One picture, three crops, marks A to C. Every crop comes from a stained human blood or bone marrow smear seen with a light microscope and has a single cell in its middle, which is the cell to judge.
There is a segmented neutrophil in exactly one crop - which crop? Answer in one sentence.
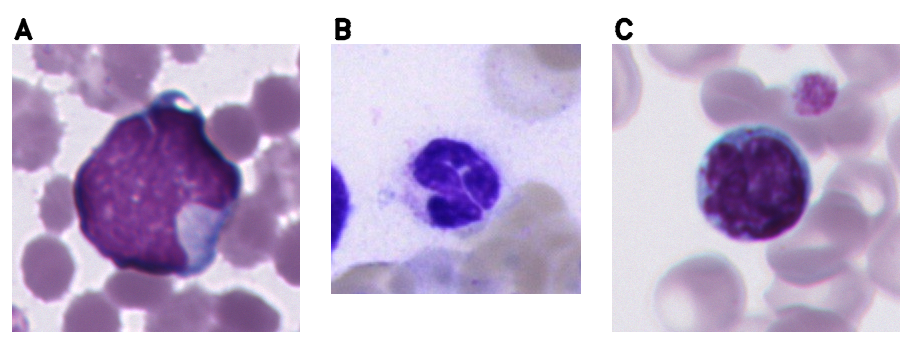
Here the crop that shows a segmented neutrophil is crop B.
